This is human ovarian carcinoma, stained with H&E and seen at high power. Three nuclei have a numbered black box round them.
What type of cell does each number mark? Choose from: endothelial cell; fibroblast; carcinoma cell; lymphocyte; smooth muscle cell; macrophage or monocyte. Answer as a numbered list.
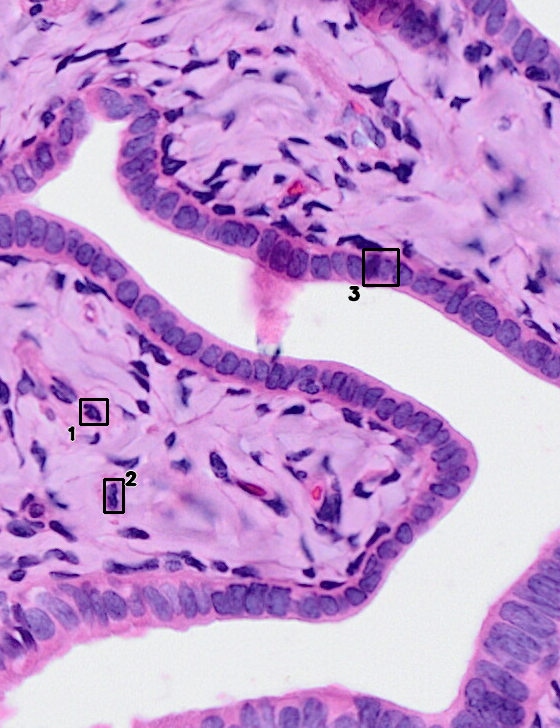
1. endothelial cell
2. endothelial cell
3. carcinoma cell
